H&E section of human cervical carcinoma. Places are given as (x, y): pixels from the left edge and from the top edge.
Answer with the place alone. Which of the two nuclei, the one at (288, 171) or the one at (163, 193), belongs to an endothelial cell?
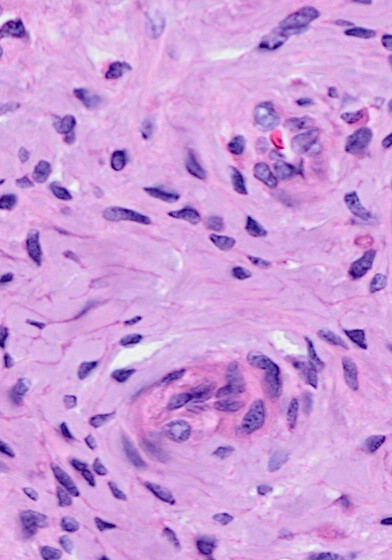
(288, 171)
